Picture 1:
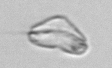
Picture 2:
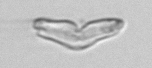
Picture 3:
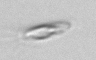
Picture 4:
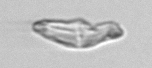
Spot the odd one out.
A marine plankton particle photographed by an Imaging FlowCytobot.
Picture 3 (Chrysochromulina parkeae among Karenia papilionacea).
